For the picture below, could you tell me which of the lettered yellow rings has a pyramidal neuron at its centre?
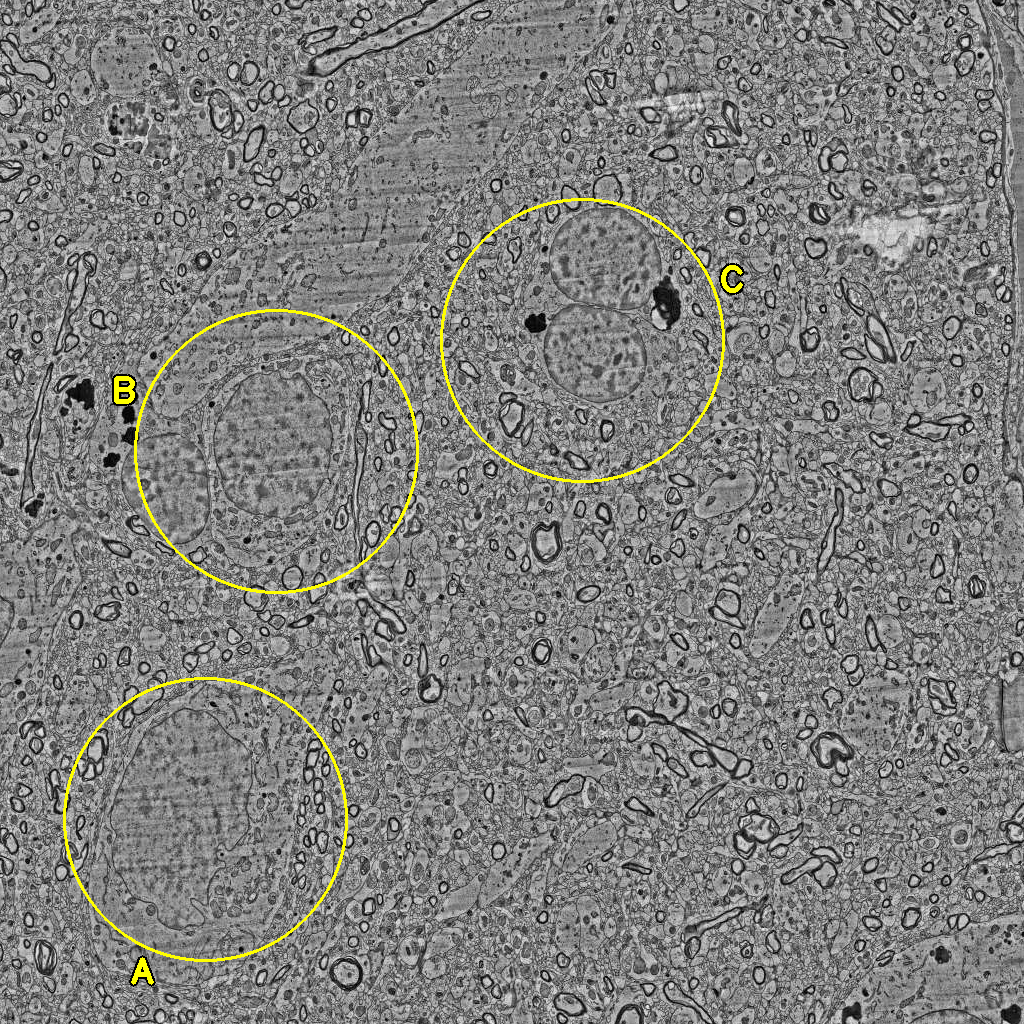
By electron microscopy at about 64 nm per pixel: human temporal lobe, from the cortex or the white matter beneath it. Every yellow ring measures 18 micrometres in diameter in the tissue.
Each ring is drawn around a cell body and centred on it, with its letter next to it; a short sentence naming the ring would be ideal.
Ring A is centred on it.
